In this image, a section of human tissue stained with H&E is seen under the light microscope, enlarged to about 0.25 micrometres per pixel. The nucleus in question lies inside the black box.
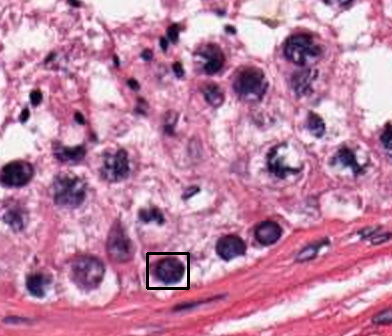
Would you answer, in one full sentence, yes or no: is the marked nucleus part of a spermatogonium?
Yes, in this image it is a spermatogonium that contains the marked nucleus.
